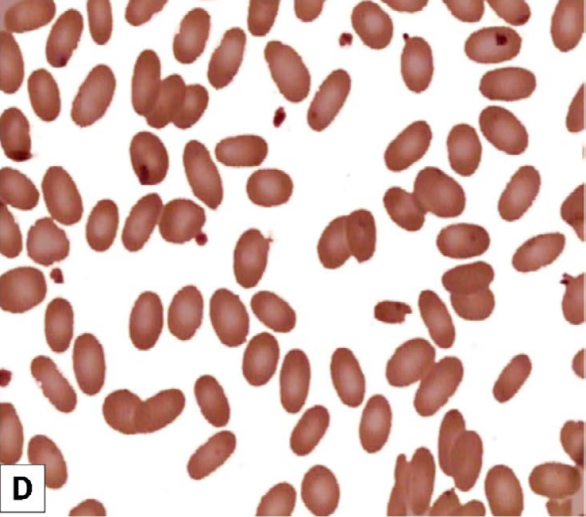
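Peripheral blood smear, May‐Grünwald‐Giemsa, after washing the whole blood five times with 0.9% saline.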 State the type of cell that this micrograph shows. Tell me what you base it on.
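Erythrocytes. Many anucleate oval pink-brown cells. Cells lie mostly singly, with few overlaps.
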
